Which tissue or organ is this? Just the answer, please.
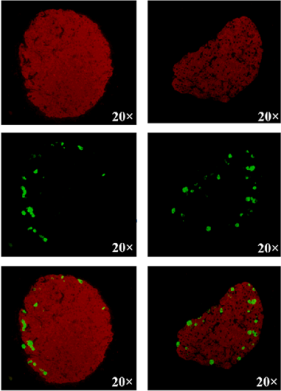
islet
